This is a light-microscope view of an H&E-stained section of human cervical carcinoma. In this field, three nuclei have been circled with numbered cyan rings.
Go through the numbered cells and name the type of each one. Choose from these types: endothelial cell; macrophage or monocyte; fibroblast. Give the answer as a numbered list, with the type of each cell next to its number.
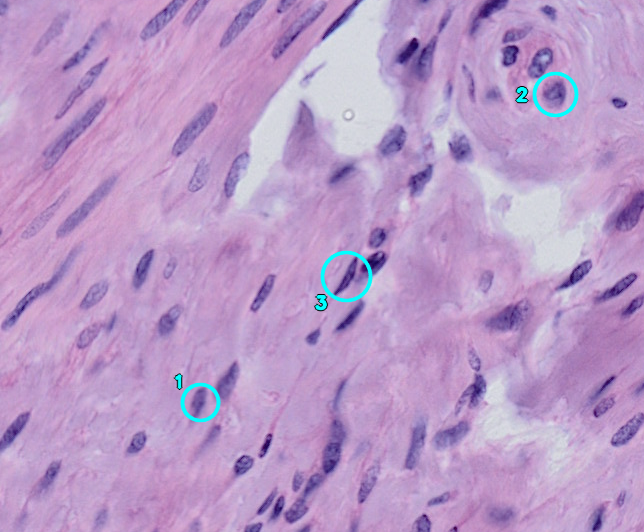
1. fibroblast
2. endothelial cell
3. fibroblast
